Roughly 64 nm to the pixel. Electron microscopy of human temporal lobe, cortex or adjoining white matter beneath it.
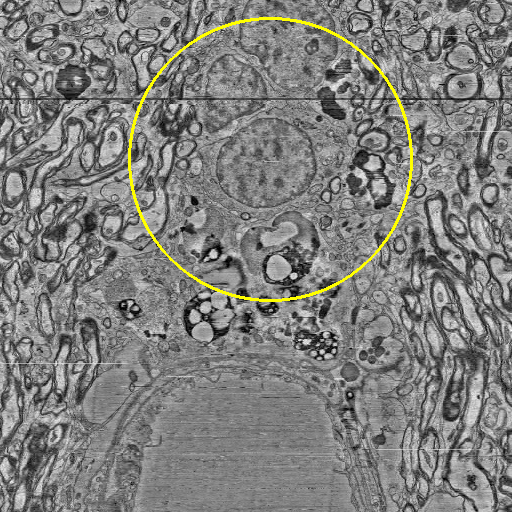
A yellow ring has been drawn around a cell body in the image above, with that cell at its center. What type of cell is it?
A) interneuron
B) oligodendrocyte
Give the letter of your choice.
B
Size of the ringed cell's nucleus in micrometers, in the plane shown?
The nucleus of the ringed cell is approximately 7 by 6 micrometres in this plane.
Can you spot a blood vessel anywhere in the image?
Yes, there is a blood vessel.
